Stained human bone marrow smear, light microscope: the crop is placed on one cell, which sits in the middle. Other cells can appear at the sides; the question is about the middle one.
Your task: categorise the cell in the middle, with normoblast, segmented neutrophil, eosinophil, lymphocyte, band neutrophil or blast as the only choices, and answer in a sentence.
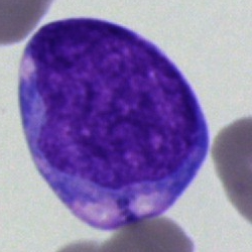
The cell centred in this crop is categorized as a blast.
